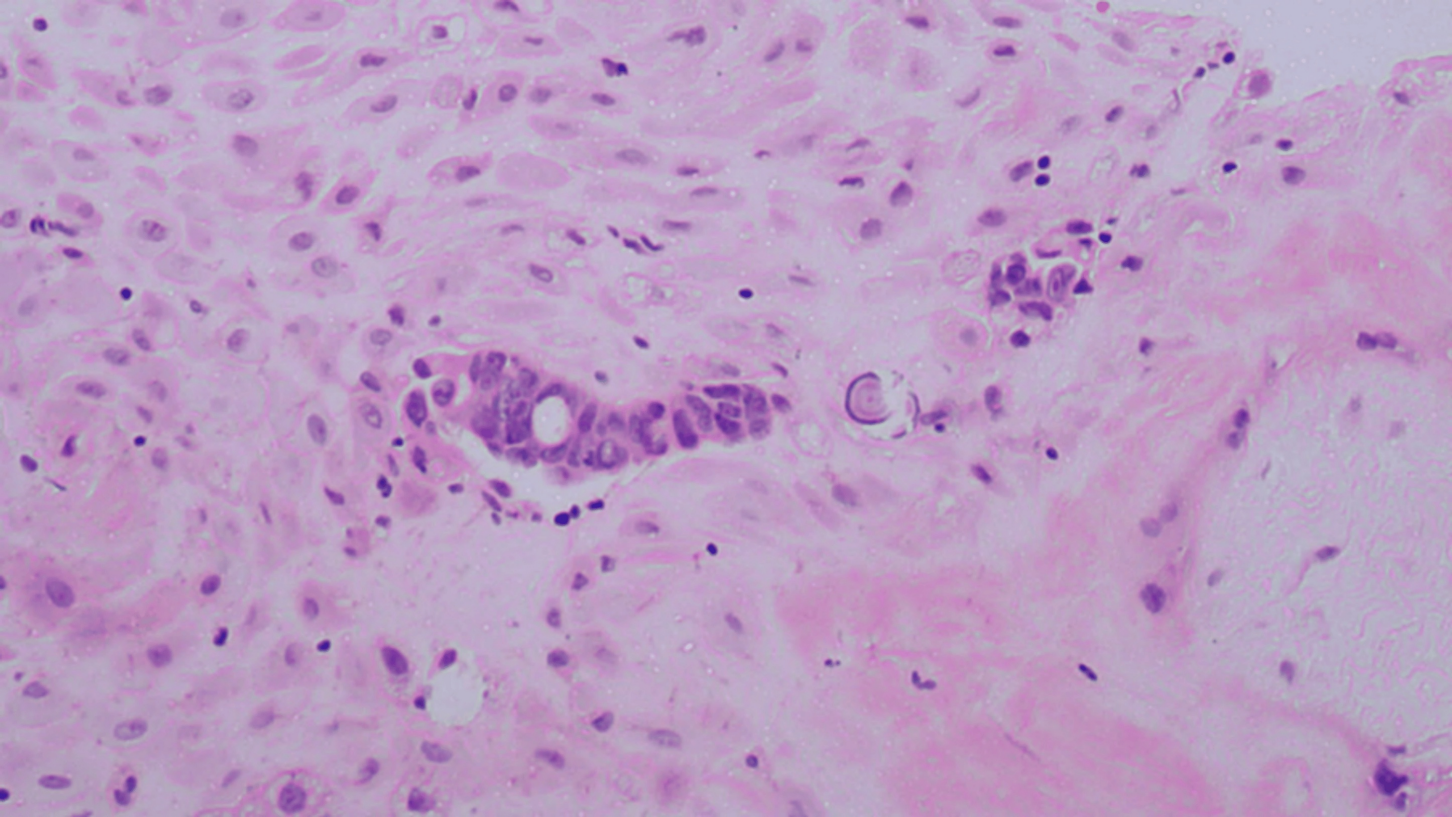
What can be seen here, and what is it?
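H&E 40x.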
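Among pale pink cells with small oval nuclei lies a tight cluster of cells with crowded, dark purple nuclei that vary in size and shape and overlap, around a small round clear space. Just beside it sits a small round body with concentric pink-purple rings in a clear space. This is a cluster of tumour cells with pleomorphic, irregular, hyperchromatic nuclei, next to a psammoma body.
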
